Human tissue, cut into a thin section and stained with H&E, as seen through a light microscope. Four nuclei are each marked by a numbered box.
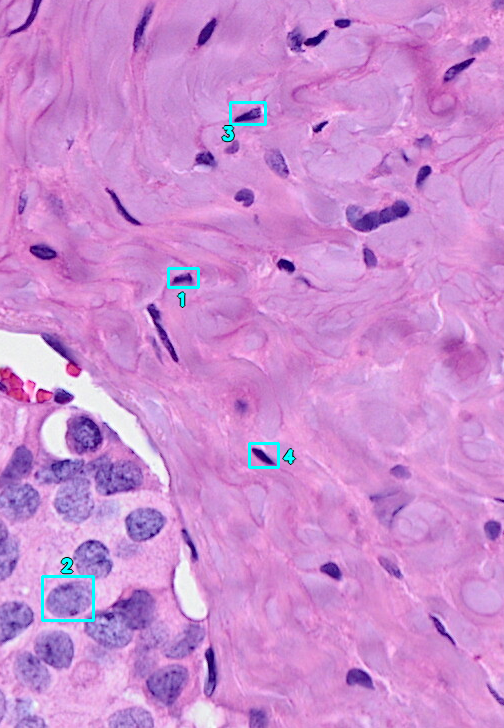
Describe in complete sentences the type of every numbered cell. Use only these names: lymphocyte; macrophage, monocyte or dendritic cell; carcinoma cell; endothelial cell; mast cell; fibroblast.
Cell 1 is a fibroblast, cell 2 is a carcinoma cell, cell 3 is a fibroblast and cell 4 is a fibroblast.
